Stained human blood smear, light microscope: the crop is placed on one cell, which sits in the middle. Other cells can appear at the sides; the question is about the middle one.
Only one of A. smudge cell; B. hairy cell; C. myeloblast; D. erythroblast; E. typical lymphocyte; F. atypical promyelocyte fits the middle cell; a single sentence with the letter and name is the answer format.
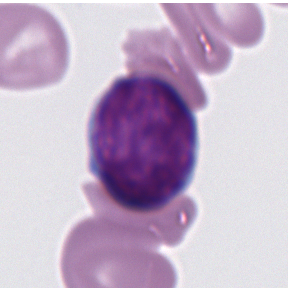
Option C is correct in that the central cell is a myeloblast.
